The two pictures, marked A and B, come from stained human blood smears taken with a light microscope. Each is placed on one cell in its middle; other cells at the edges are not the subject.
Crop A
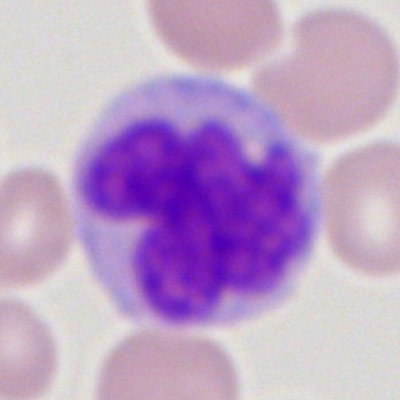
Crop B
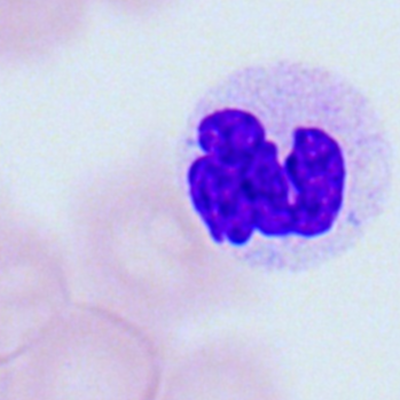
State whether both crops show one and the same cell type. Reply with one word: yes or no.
no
